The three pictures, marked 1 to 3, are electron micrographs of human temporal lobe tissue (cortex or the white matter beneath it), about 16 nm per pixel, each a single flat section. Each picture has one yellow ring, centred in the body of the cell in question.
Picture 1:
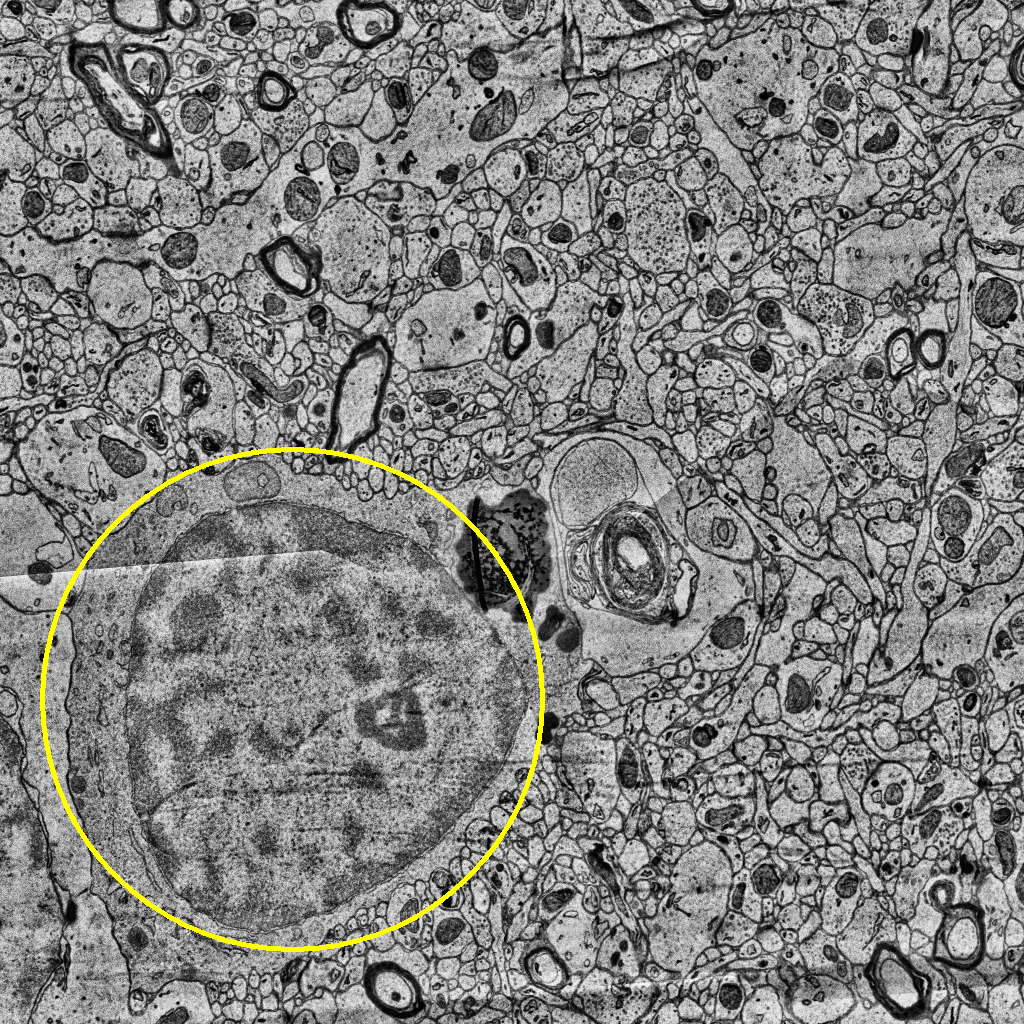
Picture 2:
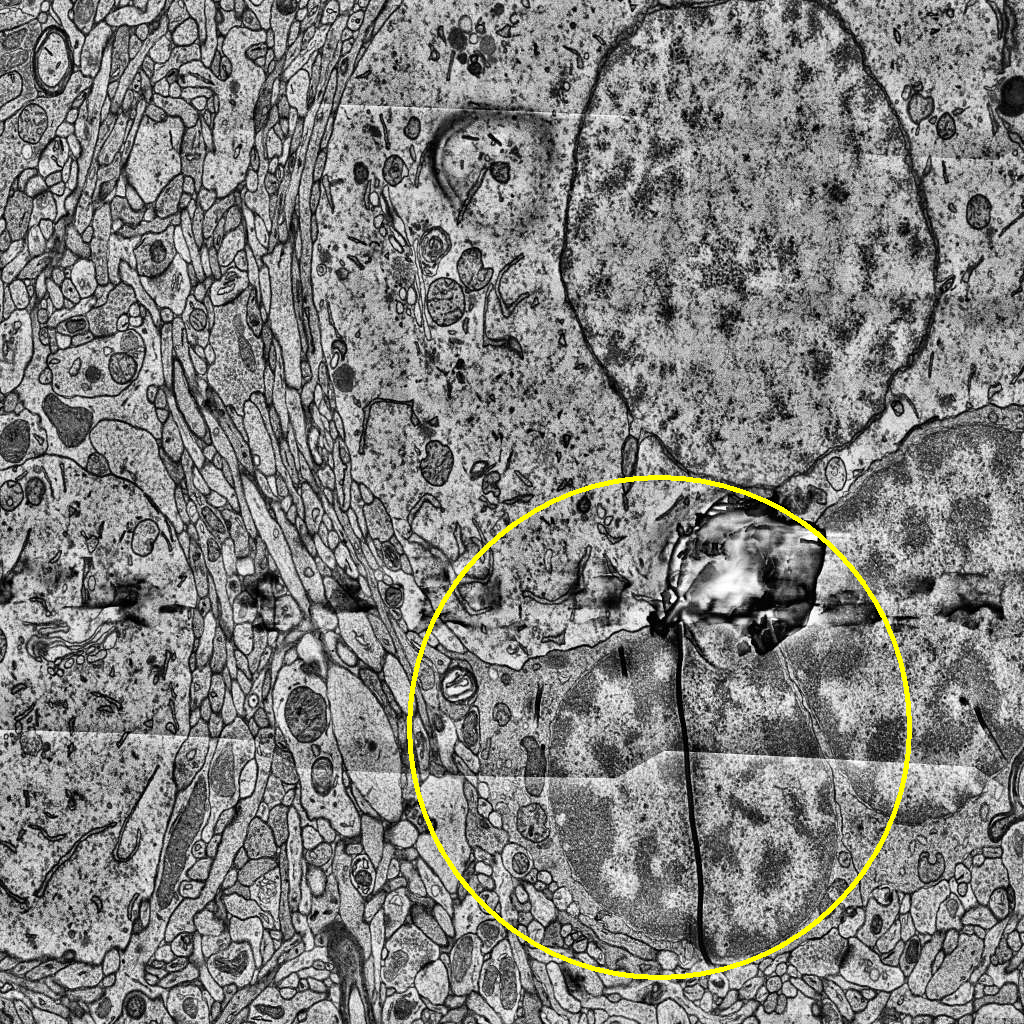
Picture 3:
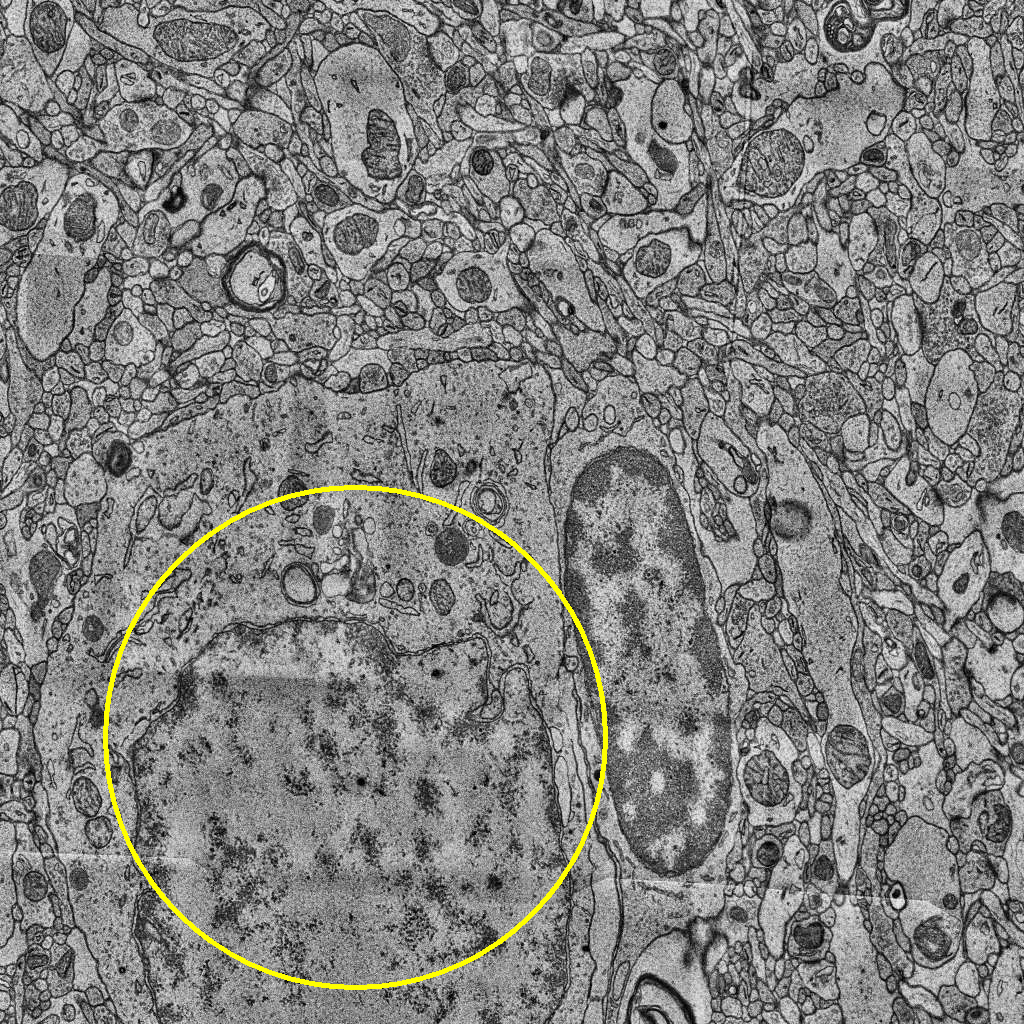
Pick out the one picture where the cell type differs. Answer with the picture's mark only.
3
